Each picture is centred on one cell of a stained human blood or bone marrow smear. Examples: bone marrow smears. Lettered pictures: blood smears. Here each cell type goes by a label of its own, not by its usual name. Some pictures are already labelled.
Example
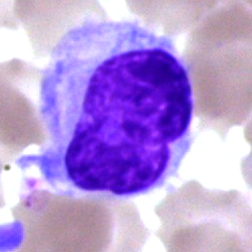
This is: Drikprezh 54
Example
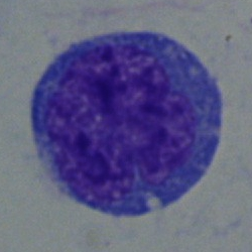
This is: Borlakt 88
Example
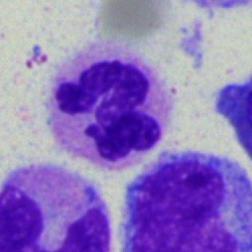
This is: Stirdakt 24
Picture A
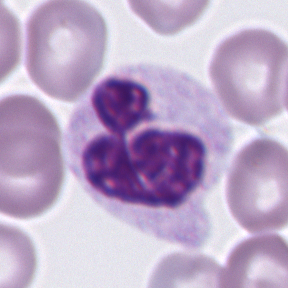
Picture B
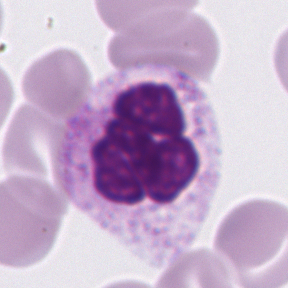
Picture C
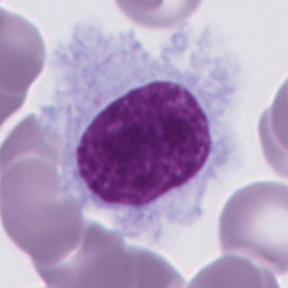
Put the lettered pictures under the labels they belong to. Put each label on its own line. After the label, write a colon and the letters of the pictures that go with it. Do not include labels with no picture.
Drikprezh 54: C
Stirdakt 24: A, B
